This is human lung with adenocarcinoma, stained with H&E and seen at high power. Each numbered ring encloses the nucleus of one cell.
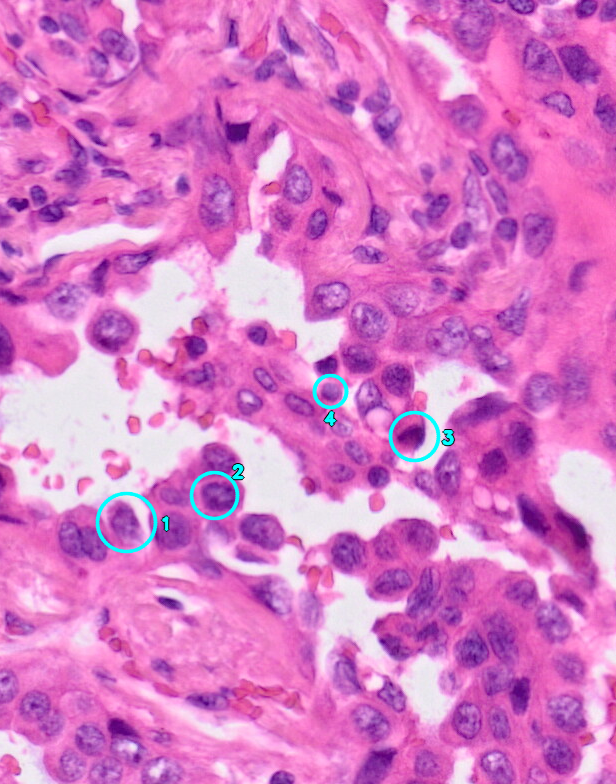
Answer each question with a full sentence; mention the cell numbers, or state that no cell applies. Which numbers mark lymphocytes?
Unlike the other numbered cells, cell 4 is a lymphocyte.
